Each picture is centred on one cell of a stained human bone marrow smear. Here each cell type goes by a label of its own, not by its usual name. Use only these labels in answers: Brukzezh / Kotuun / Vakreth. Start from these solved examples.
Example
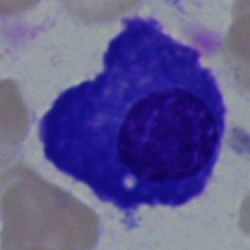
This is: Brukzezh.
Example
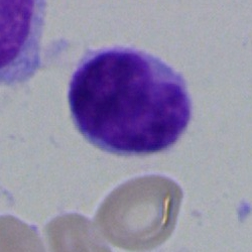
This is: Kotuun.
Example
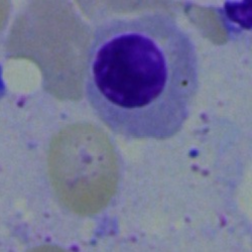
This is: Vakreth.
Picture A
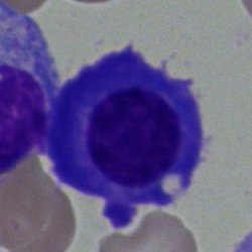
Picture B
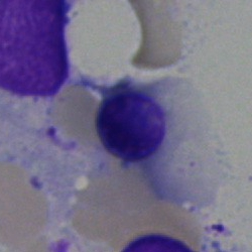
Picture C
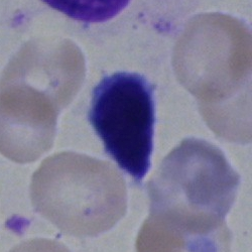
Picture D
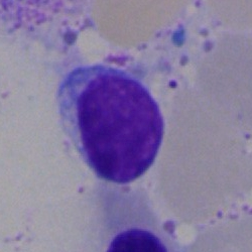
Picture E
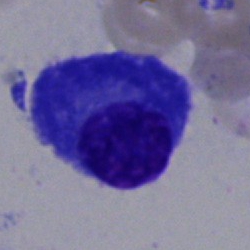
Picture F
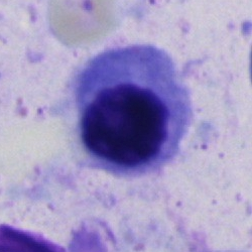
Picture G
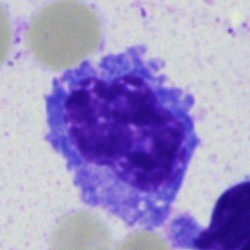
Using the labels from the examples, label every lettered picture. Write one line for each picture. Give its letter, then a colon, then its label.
A: Brukzezh.
B: Vakreth.
C: Kotuun.
D: Kotuun.
E: Brukzezh.
F: Vakreth.
G: Brukzezh.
